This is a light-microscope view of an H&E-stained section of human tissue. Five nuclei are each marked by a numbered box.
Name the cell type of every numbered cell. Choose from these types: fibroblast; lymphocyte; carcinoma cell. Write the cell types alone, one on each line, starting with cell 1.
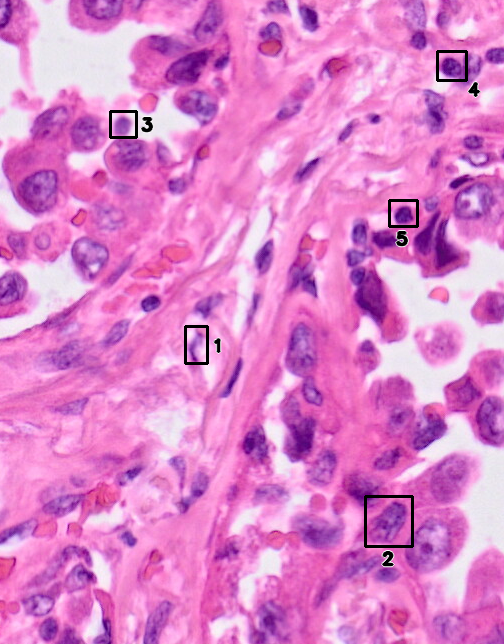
fibroblast
carcinoma cell
lymphocyte
lymphocyte
lymphocyte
